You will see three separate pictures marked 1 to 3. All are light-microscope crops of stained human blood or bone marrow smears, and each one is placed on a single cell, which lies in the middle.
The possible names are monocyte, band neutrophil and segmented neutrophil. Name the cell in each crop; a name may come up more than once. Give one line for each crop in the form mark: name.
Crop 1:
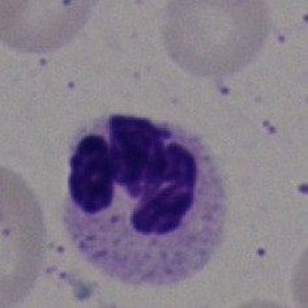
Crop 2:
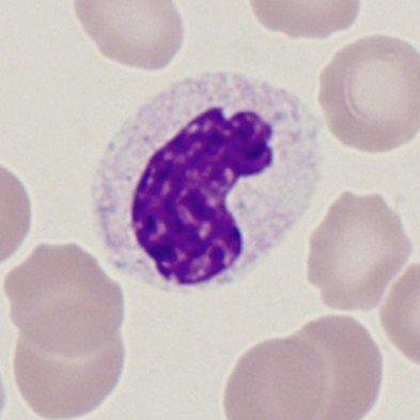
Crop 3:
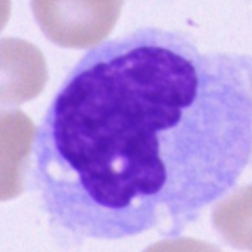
1: segmented neutrophil
2: band neutrophil
3: monocyte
